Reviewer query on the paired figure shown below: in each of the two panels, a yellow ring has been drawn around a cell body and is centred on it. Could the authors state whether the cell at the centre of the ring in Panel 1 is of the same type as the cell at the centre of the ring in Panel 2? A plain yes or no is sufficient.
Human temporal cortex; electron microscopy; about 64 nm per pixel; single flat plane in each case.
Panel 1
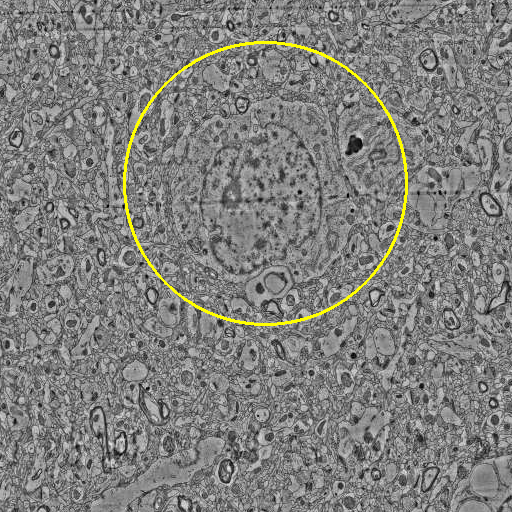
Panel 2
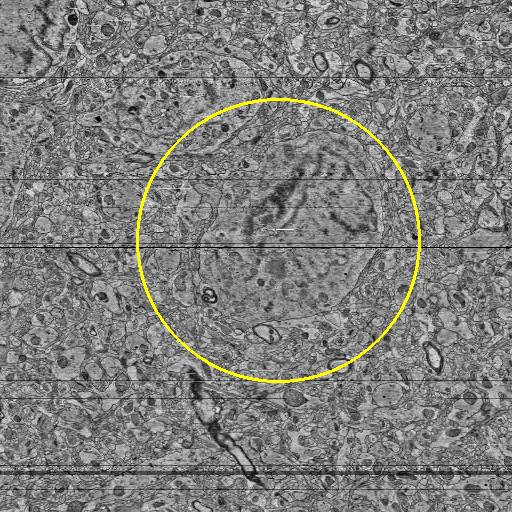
yes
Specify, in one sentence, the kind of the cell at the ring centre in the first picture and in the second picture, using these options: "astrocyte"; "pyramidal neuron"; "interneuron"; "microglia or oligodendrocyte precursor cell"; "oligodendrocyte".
Both rings mark an interneuron, one in each picture.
